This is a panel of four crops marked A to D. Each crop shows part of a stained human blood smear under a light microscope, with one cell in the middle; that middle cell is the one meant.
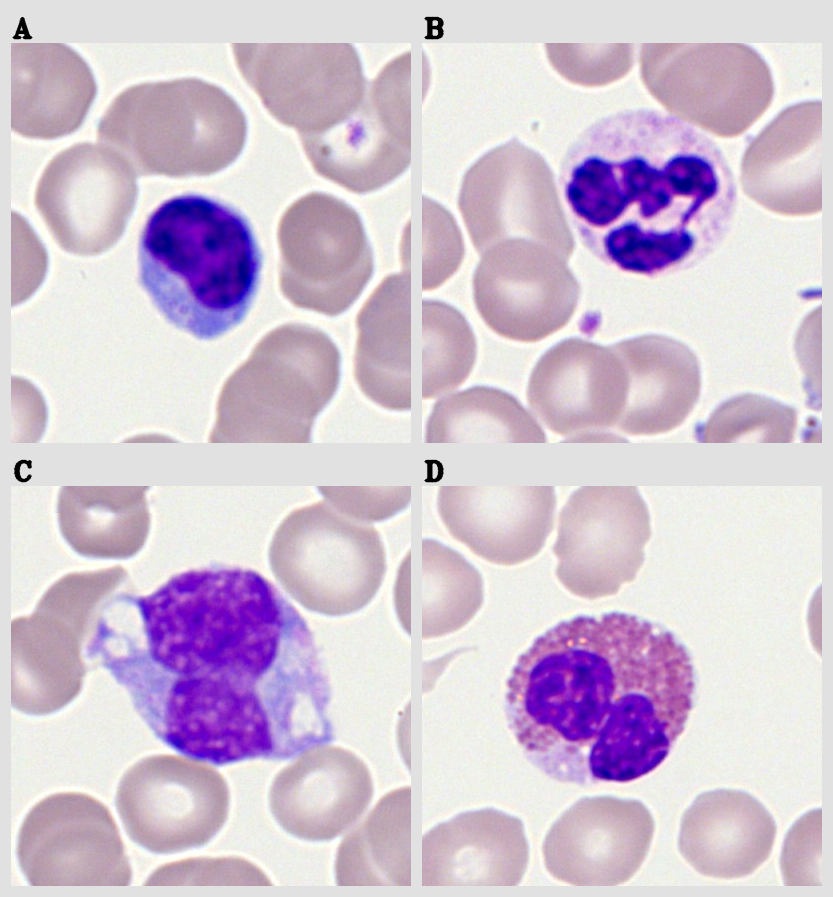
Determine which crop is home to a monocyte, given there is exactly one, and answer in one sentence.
Of these crops, it is crop C that shows a monocyte.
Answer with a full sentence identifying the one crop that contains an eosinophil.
Of all the crops, crop D is the one showing an eosinophil.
